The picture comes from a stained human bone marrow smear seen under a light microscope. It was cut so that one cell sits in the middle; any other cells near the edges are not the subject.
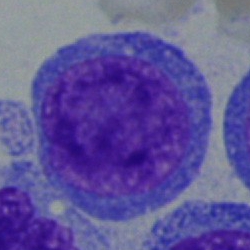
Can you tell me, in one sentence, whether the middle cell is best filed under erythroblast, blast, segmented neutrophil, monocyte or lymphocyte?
Whatever else lies nearby, the middle cell is a blast.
